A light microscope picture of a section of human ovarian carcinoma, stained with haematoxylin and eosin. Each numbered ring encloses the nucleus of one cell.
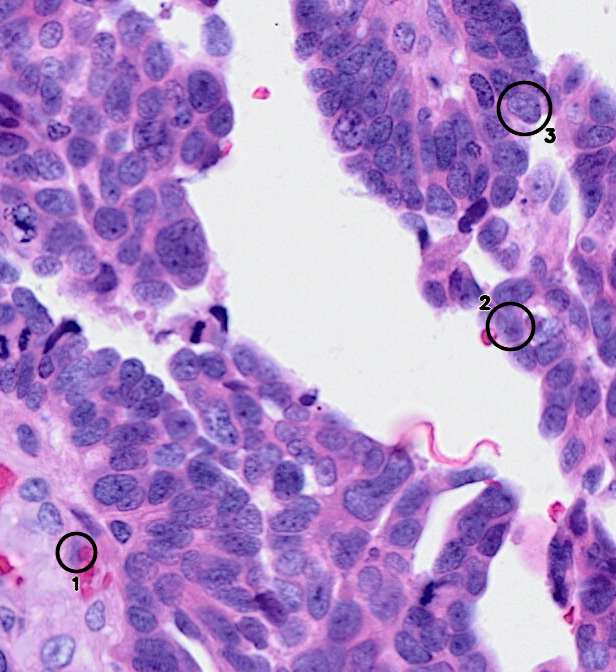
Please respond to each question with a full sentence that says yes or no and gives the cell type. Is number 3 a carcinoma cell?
Yes, the cell carrying label 3 is a carcinoma cell.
